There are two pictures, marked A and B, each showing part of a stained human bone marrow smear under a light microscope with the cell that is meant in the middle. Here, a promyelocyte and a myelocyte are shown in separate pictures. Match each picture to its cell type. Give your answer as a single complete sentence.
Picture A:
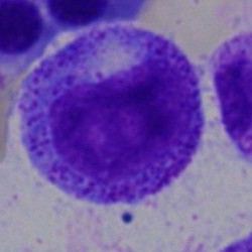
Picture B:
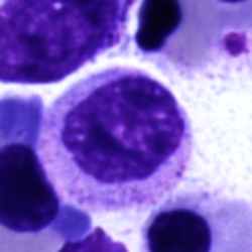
It is picture A that shows a promyelocyte, and picture B that shows a myelocyte.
